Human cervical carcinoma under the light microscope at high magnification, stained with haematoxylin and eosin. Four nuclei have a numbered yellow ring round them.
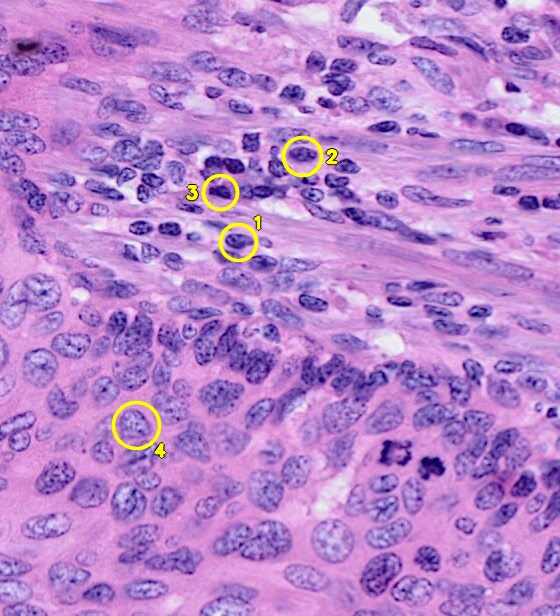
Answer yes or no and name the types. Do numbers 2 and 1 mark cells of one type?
Yes, cells 2 and 1 are both classed as lymphocytes.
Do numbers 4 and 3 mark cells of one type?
No, sorry, cell 4 is a squamous carcinoma cell and cell 3 is a lymphocyte.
